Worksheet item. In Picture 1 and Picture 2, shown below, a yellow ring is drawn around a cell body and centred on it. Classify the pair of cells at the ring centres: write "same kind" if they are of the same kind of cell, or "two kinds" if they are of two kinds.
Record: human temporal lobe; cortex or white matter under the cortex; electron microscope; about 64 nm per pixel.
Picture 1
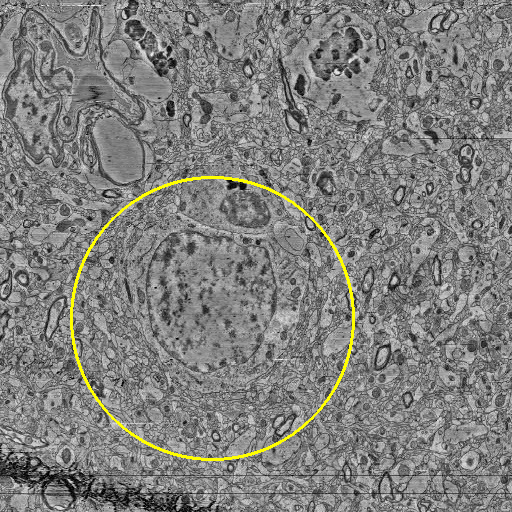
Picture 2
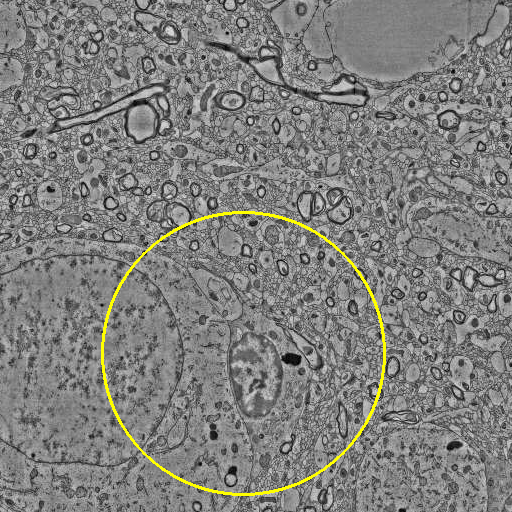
two kinds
